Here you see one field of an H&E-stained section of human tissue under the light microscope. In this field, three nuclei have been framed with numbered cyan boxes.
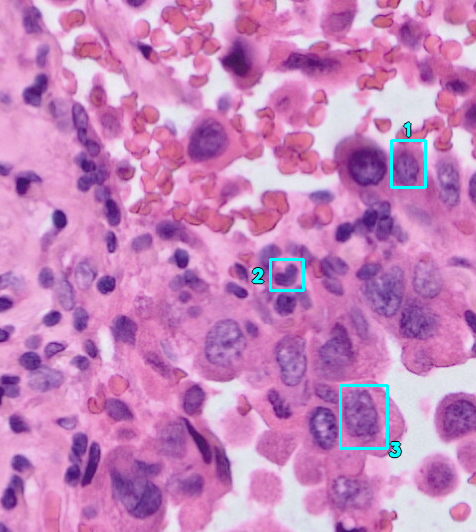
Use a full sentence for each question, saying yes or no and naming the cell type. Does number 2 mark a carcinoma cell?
No, calling cell 2 a carcinoma cell is a mistake; it is a lymphocyte.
